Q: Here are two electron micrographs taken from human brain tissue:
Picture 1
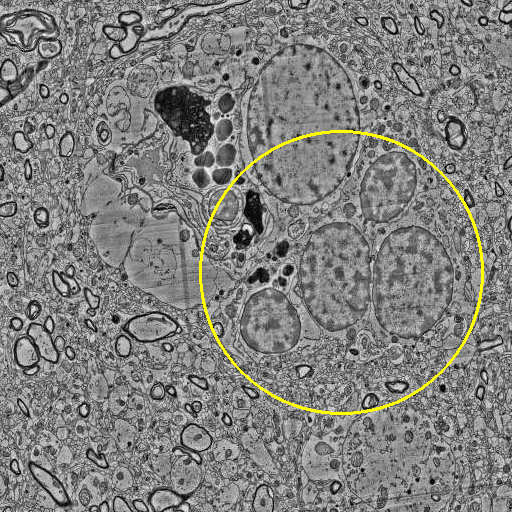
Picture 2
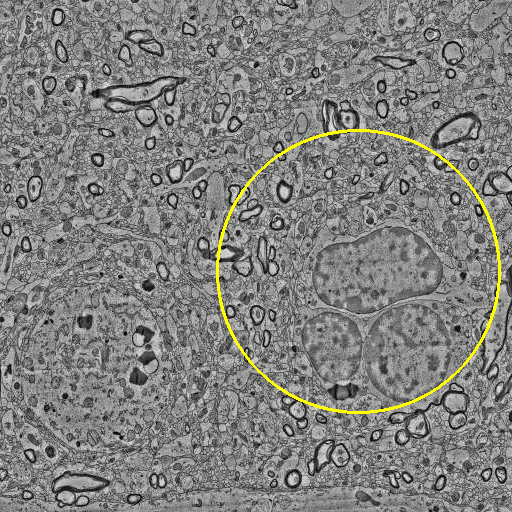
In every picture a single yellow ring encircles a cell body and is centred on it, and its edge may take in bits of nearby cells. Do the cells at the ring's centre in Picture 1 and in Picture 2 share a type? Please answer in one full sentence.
No, the cells at the ring's centre in Picture 1 and Picture 2 are of two types.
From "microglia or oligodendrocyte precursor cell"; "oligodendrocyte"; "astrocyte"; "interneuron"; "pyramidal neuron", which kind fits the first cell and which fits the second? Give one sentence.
The cell marked in the first picture is an oligodendrocyte, and the one marked in the second is a microglial cell or oligodendrocyte precursor cell.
